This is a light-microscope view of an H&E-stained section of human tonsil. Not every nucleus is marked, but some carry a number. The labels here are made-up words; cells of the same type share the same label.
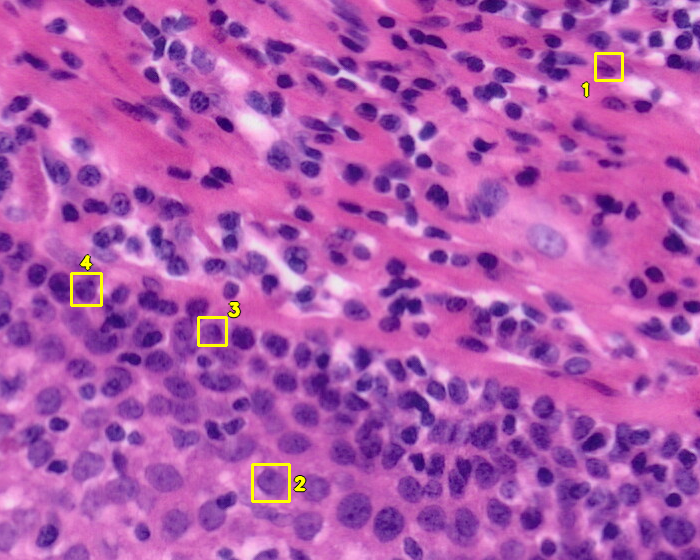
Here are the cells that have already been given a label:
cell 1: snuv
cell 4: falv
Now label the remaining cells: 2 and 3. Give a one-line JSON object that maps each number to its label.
{"2": "falv", "3": "falv"}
